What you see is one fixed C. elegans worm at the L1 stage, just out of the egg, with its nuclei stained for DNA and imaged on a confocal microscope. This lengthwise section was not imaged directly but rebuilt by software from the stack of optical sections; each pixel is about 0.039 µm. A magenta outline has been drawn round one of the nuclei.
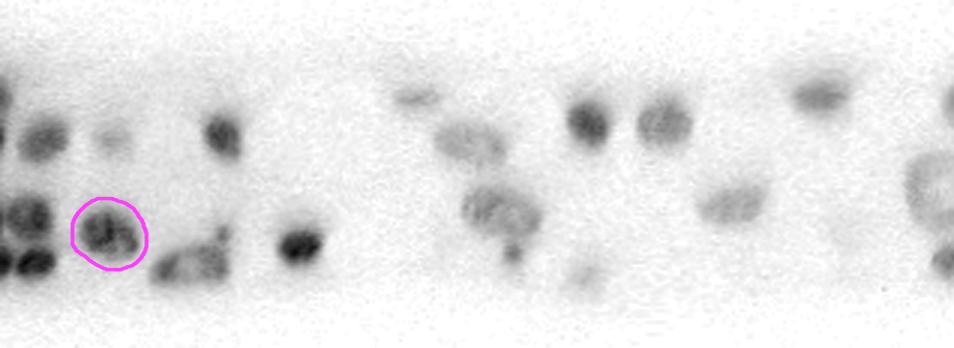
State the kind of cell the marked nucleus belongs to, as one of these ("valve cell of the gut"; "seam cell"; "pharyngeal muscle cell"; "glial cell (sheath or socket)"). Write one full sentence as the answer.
It is the nucleus of a pharyngeal muscle cell.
